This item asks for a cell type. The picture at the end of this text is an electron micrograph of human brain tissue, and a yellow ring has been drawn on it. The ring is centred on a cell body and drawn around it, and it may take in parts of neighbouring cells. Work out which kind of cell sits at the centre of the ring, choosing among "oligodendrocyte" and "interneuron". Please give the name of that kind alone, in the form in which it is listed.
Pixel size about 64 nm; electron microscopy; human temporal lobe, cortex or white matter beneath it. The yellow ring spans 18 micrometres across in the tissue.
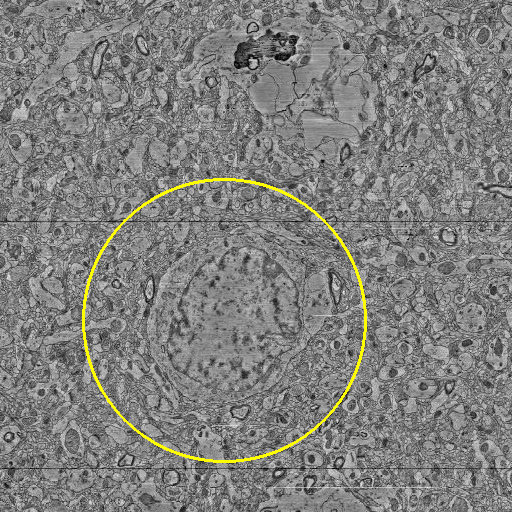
interneuron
